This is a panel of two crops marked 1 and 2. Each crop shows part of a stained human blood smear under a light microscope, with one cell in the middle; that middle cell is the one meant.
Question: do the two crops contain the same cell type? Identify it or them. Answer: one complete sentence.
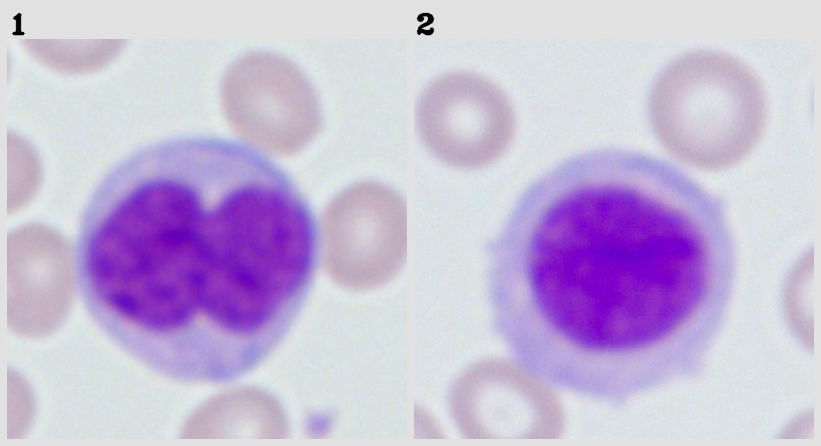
Yes, the centre of both crops is taken up by monocytes.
